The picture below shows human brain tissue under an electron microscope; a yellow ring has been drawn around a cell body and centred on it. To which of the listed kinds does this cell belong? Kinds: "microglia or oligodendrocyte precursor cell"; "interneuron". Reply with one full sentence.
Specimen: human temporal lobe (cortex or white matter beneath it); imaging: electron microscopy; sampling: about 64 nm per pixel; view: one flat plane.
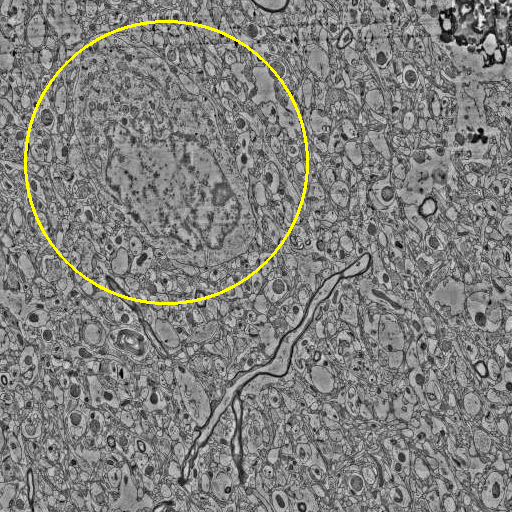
It is an interneuron that the yellow ring in the picture is centred on.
